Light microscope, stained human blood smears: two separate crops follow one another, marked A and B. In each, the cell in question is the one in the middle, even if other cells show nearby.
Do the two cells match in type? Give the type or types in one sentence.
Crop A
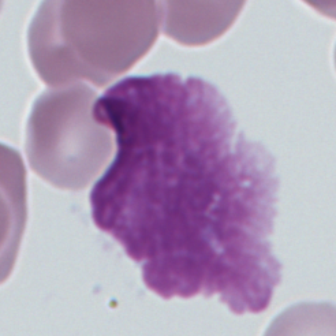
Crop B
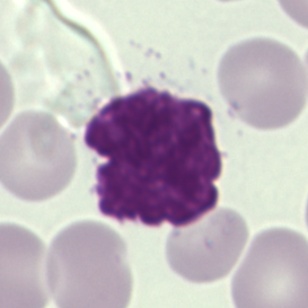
Yes, both crops show smudge cells in the middle.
